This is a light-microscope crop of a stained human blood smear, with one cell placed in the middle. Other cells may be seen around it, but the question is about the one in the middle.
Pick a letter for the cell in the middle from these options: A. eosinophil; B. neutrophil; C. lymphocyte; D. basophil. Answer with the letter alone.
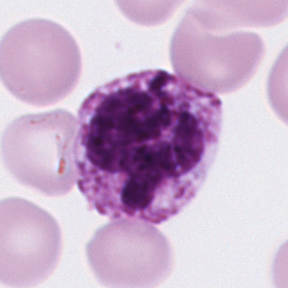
D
